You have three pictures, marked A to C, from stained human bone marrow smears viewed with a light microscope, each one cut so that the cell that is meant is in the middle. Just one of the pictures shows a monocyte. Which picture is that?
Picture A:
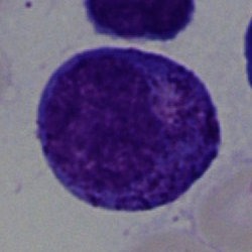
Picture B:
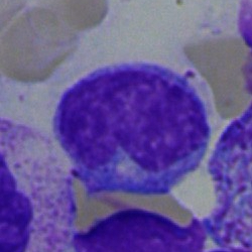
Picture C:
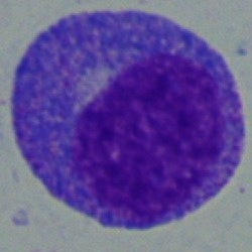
B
